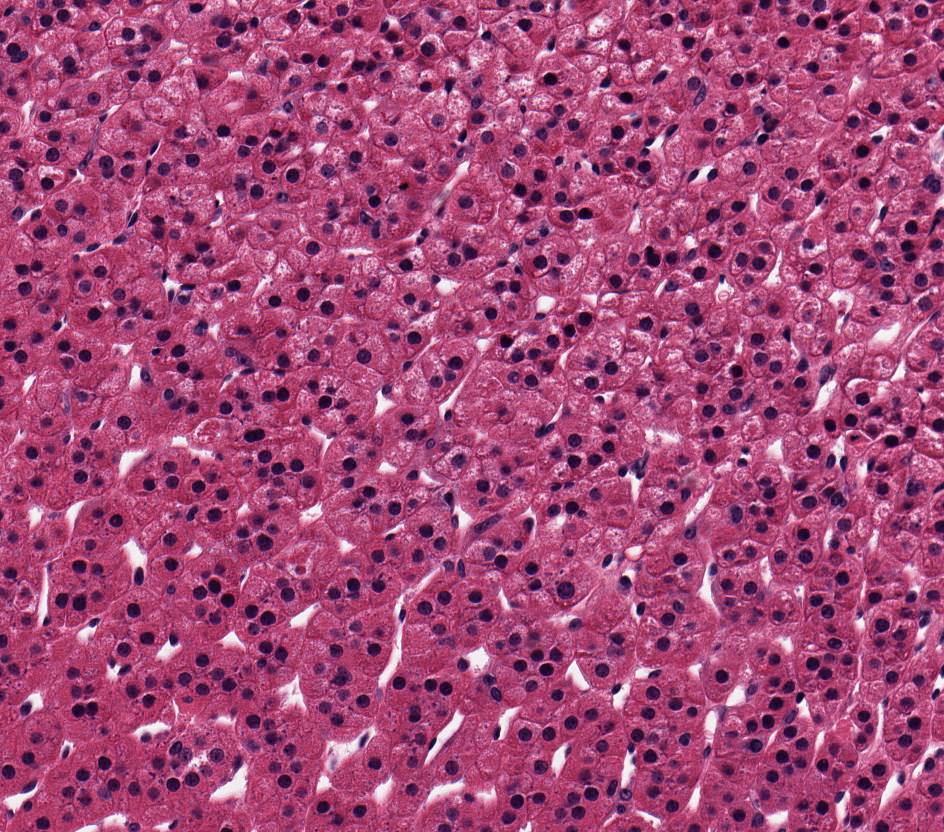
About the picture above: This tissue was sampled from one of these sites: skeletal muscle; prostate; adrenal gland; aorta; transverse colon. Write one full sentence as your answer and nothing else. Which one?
The tissue sectioned for this slide came from the adrenal gland.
